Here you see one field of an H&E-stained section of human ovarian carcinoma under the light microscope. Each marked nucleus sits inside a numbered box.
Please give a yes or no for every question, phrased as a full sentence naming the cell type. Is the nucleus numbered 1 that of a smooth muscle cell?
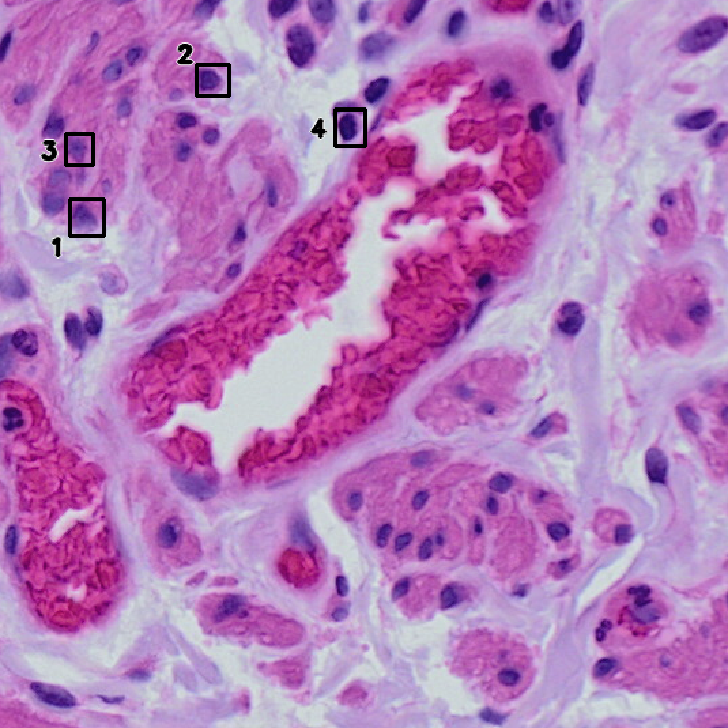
Yes, in the section, number 1 is a smooth muscle cell.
